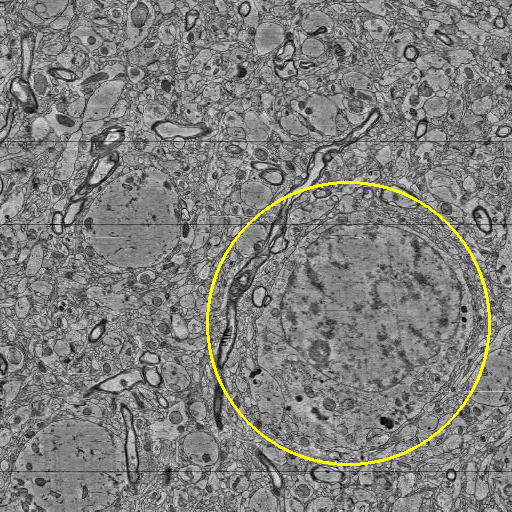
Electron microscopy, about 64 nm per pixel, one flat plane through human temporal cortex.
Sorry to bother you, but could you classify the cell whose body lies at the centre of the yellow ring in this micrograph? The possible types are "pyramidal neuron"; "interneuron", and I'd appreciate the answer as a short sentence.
The ringed cell body is that of a pyramidal neuron.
